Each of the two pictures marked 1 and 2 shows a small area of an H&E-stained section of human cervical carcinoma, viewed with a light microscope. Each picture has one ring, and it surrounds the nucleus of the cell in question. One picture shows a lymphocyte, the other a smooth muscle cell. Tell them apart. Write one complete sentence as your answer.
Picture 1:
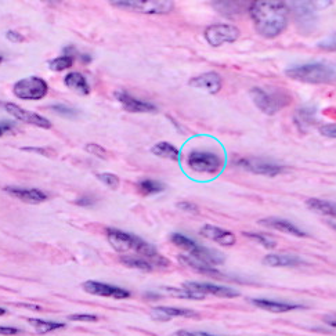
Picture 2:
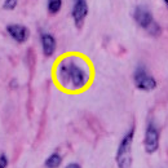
The cell in picture 1 is a lymphocyte, and the one in picture 2 is a smooth muscle cell.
